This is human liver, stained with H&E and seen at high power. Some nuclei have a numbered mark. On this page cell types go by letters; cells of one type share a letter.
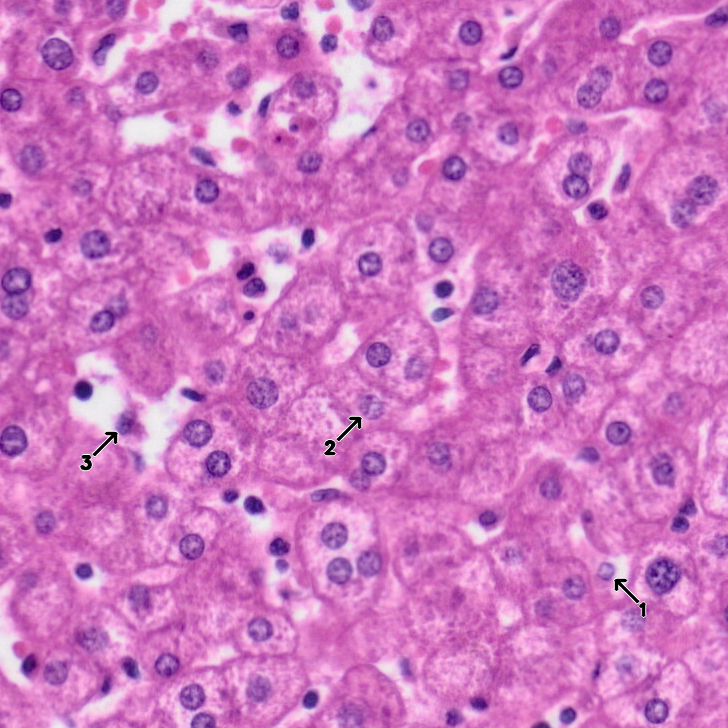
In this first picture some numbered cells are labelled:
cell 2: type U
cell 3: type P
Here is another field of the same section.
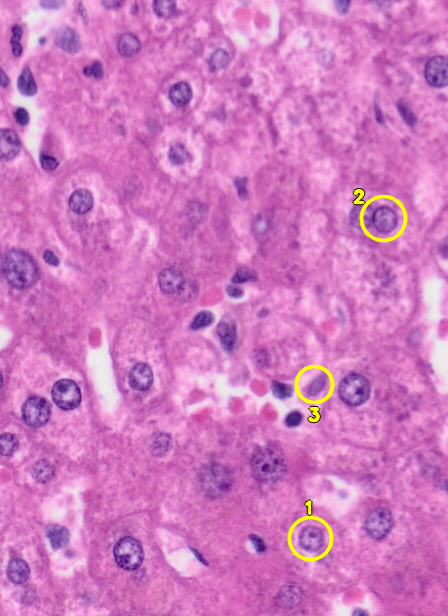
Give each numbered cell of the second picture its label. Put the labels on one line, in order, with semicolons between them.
type U; type U; type P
